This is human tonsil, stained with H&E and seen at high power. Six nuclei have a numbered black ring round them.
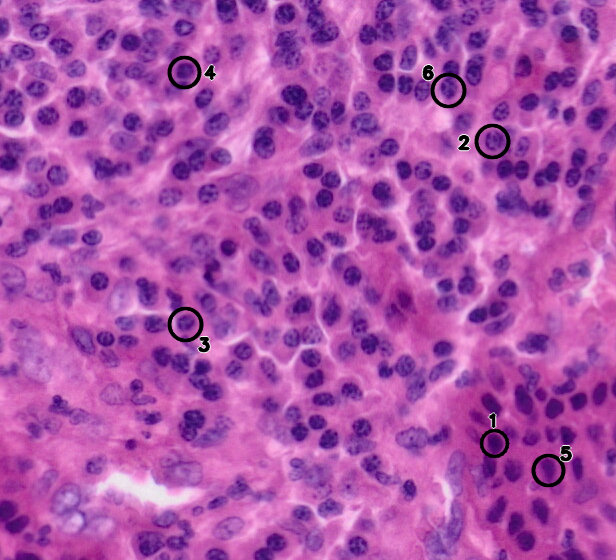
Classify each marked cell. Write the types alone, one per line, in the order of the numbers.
squamous epithelial cell
plasma cell
plasma cell
plasma cell
squamous epithelial cell
plasma cell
